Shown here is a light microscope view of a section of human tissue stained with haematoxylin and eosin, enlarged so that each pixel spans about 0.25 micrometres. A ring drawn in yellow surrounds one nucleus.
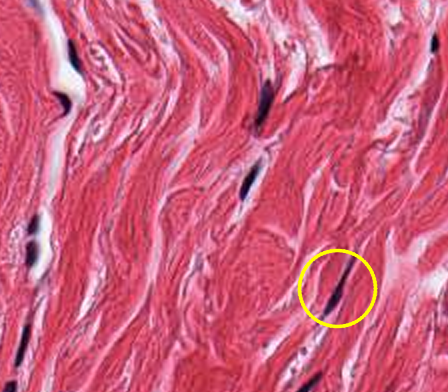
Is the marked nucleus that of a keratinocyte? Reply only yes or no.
no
